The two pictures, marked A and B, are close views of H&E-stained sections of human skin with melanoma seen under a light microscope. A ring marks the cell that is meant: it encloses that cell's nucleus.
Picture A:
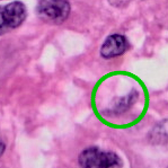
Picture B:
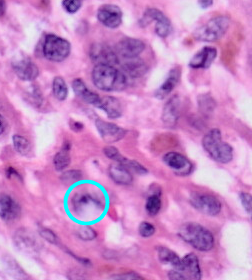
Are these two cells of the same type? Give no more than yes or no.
no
